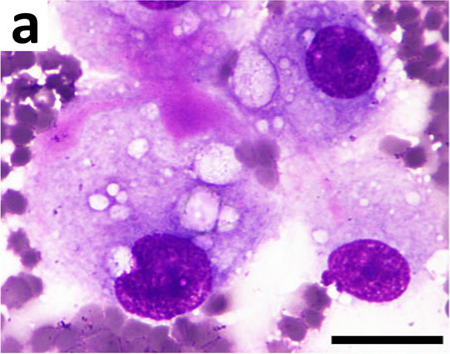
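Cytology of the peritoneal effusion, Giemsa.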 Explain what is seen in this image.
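A small cluster of large epithelioid cells lies among numerous red blood cells. The large cells have abundant, pale blue to lilac, finely granular cytoplasm with indistinct borders between neighbouring cells. Each carries a single round to oval nucleus with coarse, dark purple chromatin. Several clear round vacuoles of varying size are scattered in the cytoplasm. The surrounding background is crowded with small anucleate red blood cells.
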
